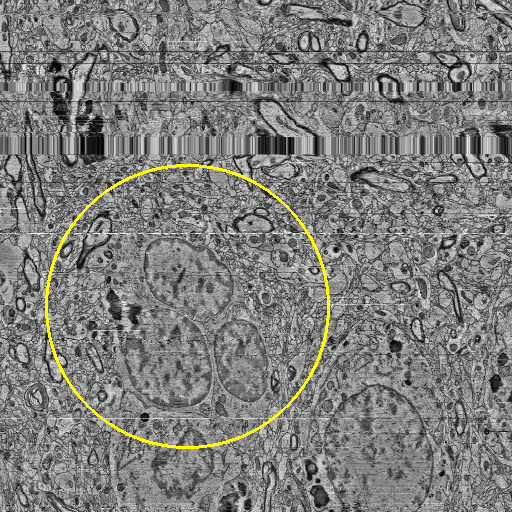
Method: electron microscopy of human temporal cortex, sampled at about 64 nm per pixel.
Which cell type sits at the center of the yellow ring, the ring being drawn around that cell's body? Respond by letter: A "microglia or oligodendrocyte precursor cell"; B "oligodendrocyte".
B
